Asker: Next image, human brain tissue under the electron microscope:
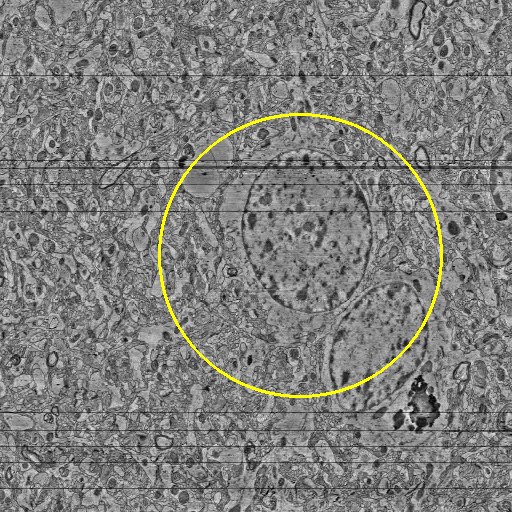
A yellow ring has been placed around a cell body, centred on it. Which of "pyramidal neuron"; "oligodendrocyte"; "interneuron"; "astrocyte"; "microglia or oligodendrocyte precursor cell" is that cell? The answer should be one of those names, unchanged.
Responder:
astrocyte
